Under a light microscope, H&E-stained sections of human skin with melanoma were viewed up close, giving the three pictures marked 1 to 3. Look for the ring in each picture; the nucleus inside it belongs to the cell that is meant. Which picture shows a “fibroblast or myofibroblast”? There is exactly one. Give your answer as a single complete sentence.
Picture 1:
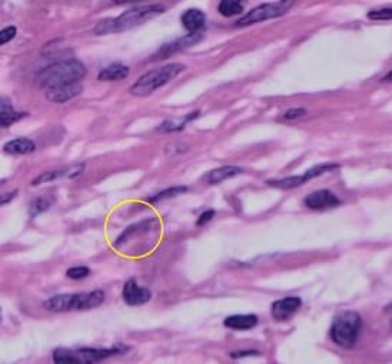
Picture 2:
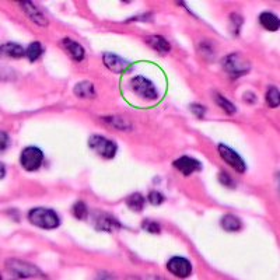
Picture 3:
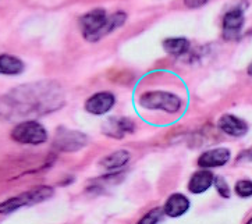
It is picture 1 that shows the “fibroblast or myofibroblast”.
